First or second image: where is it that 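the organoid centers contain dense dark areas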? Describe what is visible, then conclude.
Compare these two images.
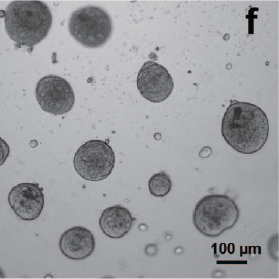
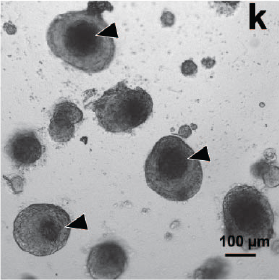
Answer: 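The second image. Second image: several round organoids have a dark, opaque core lighter at the rim. First image: round organoids are evenly toned, without a dark central core.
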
